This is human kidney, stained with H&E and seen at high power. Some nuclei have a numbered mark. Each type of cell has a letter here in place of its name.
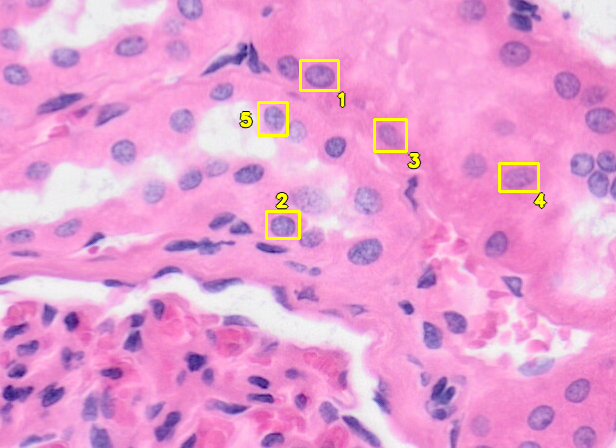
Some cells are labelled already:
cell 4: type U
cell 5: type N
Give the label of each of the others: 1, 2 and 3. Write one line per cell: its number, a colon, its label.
1: type U
2: type N
3: type U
